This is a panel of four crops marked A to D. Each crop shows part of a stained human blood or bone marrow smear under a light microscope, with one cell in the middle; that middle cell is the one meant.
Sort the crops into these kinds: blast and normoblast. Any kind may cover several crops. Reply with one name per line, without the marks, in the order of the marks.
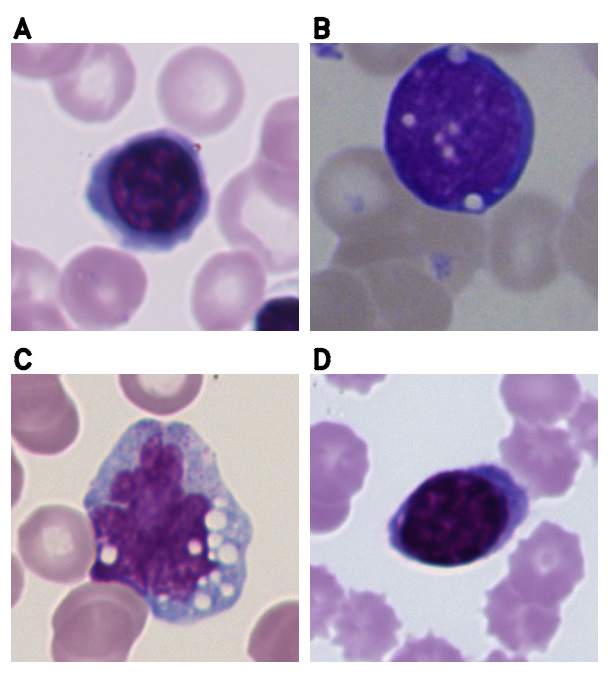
normoblast
blast
blast
normoblast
